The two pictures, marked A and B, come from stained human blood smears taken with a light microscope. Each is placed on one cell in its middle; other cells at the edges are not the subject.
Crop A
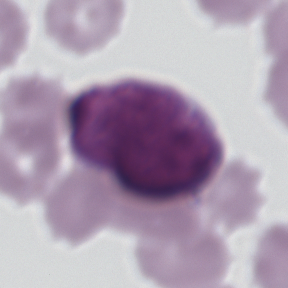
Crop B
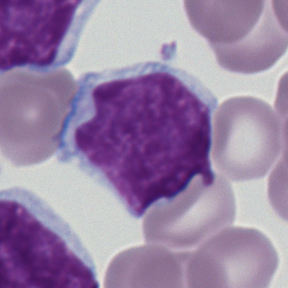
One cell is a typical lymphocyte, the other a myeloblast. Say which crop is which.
A: myeloblast
B: typical lymphocyte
